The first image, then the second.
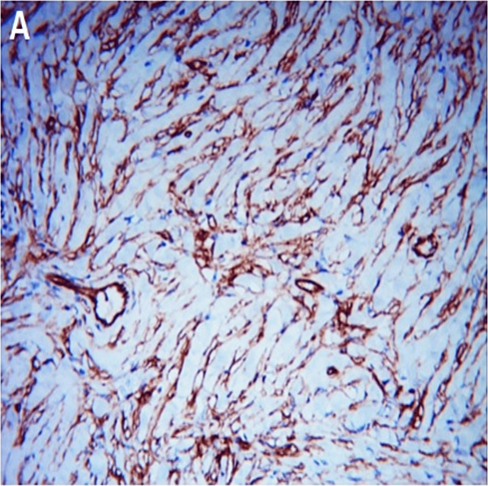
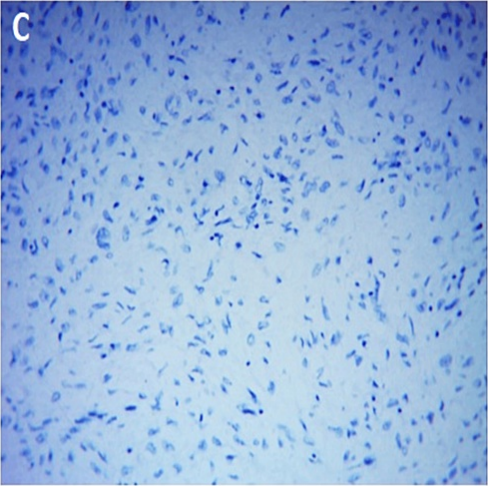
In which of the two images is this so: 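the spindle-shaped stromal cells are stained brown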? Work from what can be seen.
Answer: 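The first image. Second image: the spindle and stellate stromal cells show only blue nuclei in a pale background, with no brown stain. First image: nearly all the elongated stromal cells and their processes are outlined in brown throughout the field.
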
